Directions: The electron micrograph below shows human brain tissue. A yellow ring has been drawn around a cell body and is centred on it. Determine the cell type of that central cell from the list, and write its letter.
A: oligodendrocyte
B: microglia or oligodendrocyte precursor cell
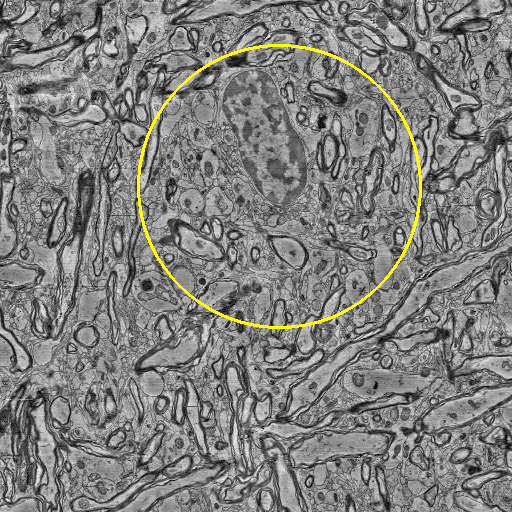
B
